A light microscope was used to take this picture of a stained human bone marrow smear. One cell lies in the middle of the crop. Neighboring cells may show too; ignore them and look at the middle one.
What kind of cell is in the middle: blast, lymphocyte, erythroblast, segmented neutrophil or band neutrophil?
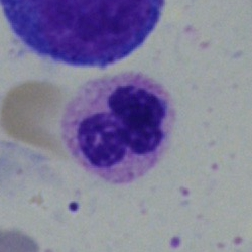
segmented neutrophil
